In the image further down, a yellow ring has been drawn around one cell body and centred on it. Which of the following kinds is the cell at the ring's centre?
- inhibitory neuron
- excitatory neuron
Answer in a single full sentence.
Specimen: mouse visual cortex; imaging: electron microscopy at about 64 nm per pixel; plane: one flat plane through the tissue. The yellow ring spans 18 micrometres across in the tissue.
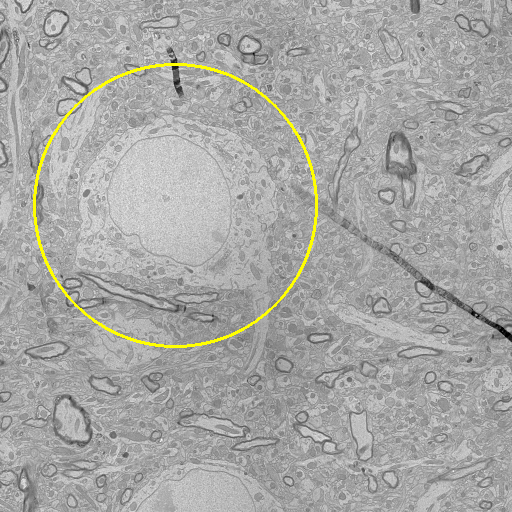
In the picture, the cell sitting at the centre of the yellow ring is an excitatory neuron.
